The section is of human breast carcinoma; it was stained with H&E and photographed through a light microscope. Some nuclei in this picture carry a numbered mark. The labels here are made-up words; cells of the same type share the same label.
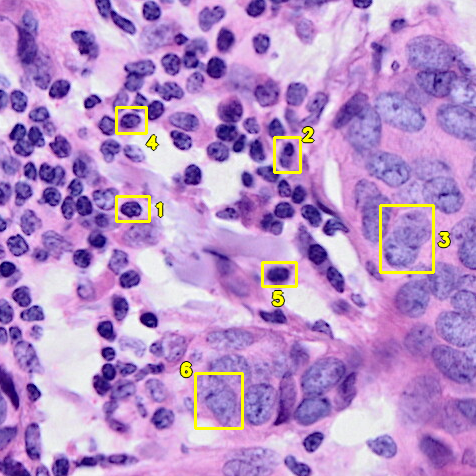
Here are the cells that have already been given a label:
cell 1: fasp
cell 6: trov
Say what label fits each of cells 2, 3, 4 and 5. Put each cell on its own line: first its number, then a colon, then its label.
2: fasp
3: trov
4: fasp
5: fasp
